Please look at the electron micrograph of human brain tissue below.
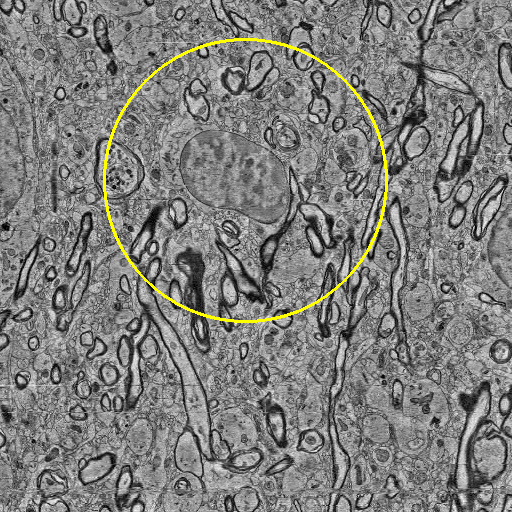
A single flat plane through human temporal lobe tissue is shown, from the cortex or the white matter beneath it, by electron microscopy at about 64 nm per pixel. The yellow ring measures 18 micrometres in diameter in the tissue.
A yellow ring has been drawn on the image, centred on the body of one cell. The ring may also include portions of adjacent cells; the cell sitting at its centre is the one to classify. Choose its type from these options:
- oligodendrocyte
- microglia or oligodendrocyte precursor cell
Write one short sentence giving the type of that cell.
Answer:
The cell in the middle of the ring is a microglial cell or oligodendrocyte precursor cell.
